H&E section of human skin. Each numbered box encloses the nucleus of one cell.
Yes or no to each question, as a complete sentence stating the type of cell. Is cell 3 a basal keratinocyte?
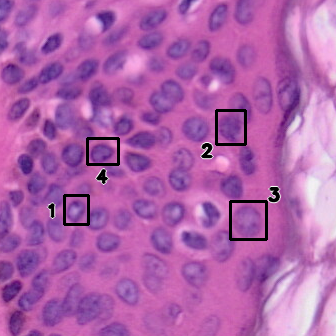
No, number 3 identifies a suprabasal keratinocyte, not a basal keratinocyte.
